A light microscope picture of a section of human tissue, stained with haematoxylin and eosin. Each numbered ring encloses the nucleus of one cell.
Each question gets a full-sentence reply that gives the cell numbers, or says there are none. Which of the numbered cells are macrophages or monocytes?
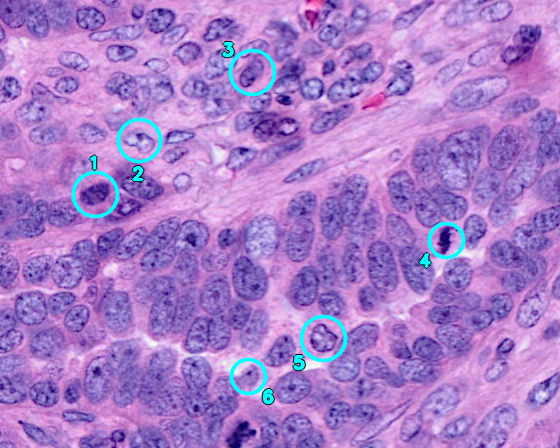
The cells identified by the numbers 5 and 6 are macrophages or monocytes.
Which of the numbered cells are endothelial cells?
The cell marked by number 3 is an endothelial cell; the other marked cells are not.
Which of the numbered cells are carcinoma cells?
On this slide, the cells numbered 1 and 4 are carcinoma cells.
